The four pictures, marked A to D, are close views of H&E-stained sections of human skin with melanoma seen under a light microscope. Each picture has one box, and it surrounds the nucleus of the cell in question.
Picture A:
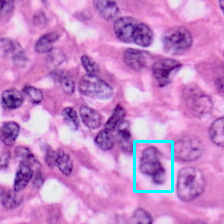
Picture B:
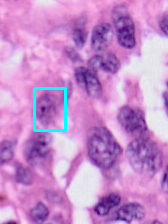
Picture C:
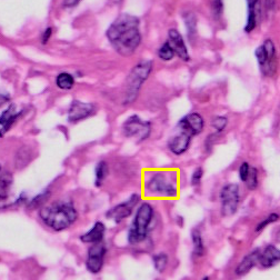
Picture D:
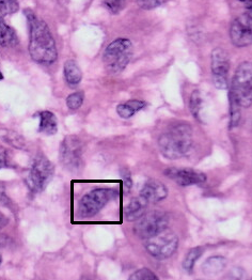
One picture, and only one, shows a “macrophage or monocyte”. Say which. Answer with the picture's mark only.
C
